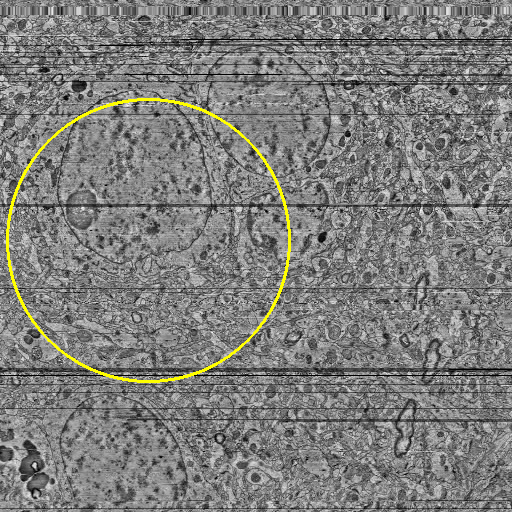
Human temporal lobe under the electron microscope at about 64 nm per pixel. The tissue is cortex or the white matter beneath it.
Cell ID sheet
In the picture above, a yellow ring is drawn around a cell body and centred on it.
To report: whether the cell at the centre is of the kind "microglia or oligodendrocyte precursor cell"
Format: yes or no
no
